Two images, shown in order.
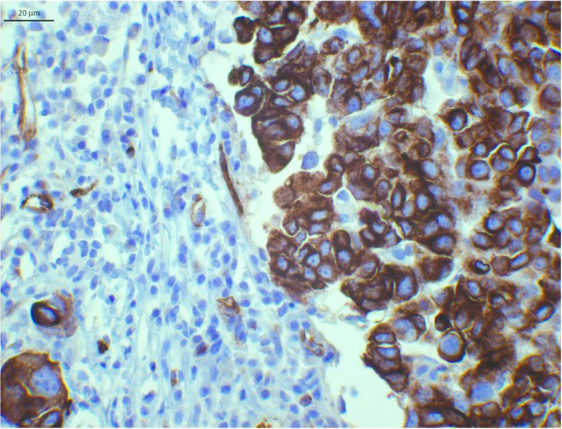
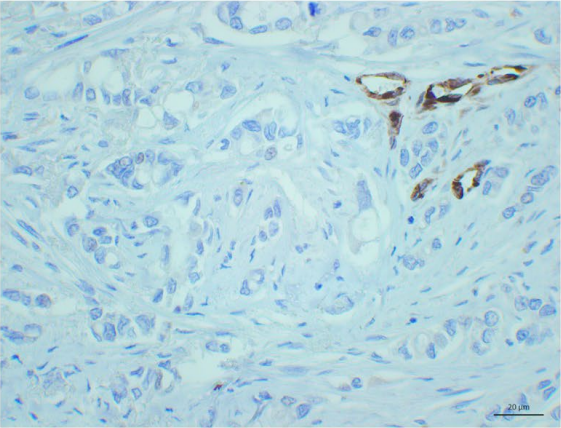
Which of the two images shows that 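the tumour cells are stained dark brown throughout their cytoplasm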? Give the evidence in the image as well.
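Second image: the tumour cells are blue with no brown in their cytoplasm; only a few vessels are brown. First image: the nests of tumour cells have dense dark brown cytoplasm.
Hence: the first image.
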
